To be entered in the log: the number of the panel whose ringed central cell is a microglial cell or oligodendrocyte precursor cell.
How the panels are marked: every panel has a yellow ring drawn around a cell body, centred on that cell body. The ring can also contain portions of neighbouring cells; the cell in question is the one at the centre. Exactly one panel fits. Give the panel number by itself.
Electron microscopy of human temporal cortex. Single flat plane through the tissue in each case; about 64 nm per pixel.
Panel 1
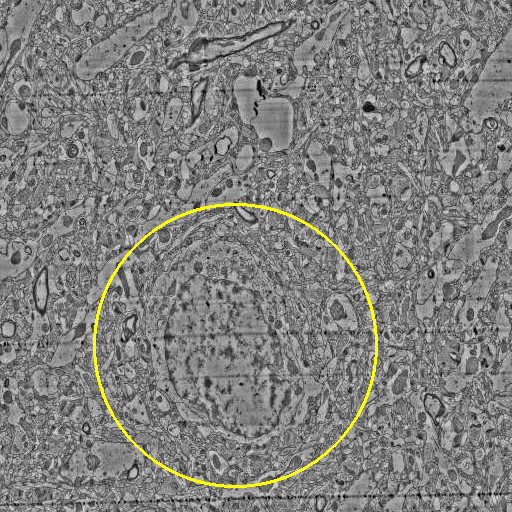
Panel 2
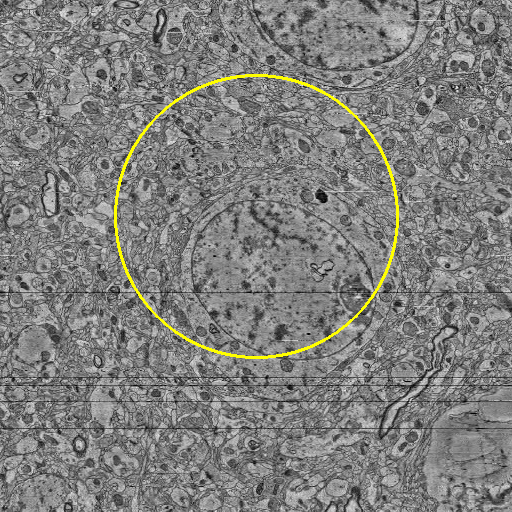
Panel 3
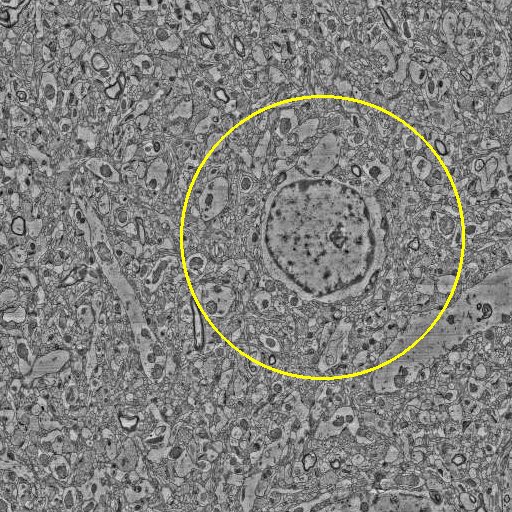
3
